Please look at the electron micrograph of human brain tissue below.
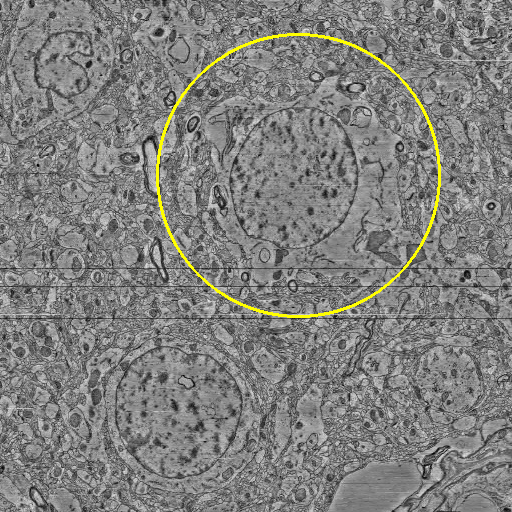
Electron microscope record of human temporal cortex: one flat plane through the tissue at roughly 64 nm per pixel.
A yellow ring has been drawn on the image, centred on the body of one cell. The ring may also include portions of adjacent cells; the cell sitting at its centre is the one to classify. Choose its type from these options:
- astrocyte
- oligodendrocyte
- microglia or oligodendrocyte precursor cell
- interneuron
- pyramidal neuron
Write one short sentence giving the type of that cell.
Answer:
The cell in the middle of the ring is an astrocyte.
